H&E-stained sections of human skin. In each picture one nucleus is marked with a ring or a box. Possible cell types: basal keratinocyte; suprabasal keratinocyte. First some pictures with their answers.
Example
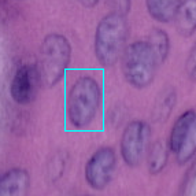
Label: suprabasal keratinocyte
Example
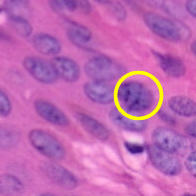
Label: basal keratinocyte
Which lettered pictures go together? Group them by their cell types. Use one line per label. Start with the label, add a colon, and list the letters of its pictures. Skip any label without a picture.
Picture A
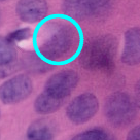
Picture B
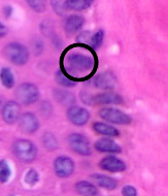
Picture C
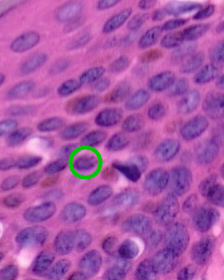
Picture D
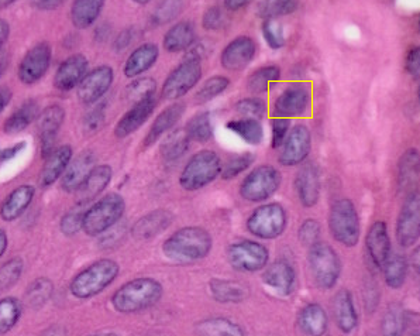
basal keratinocyte: B, C, D
suprabasal keratinocyte: A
